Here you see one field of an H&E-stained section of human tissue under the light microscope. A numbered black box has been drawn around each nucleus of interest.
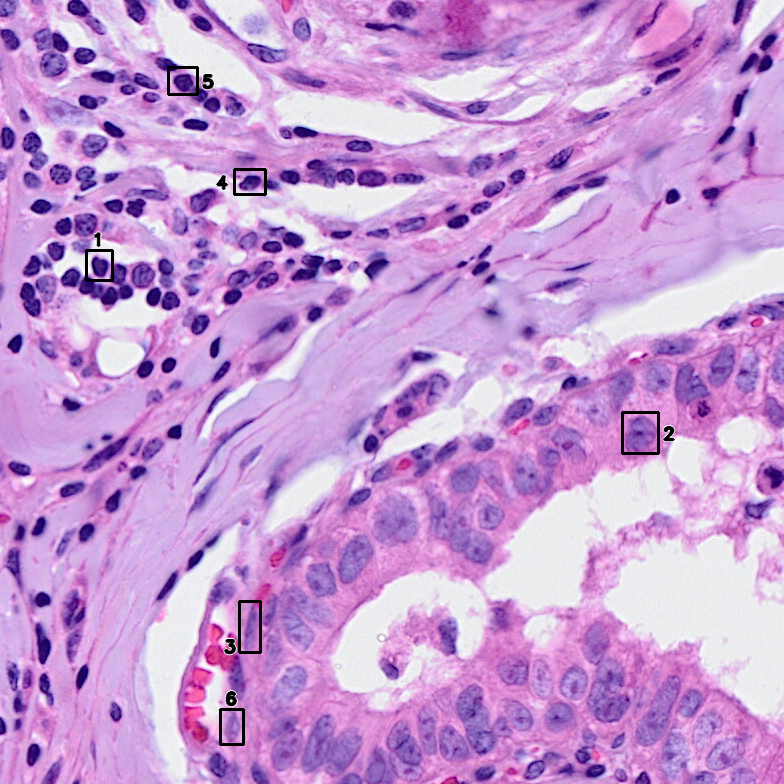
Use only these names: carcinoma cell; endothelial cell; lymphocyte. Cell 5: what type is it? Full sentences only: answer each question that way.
Heads up, the cell numbered 5 is a lymphocyte.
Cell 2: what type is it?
The cell identified by number 2 is a carcinoma cell.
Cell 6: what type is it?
The cell indicated by marker 6 is an endothelial cell in this section.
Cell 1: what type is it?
The marked nucleus 1 is that of a lymphocyte.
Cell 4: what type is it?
Number 4 among the marked cells is a lymphocyte.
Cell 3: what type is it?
Here the cell numbered 3 is an endothelial cell.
